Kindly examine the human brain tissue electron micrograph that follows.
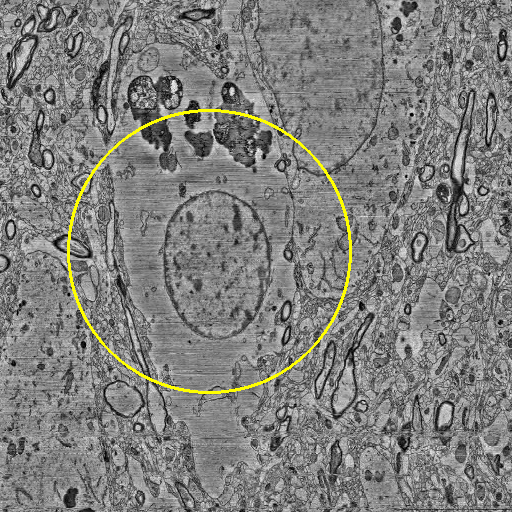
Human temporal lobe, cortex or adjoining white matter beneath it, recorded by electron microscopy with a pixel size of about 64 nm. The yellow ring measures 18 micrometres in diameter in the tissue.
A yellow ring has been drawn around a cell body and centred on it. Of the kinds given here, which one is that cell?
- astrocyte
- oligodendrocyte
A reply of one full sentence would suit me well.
The micrograph's ringed cell, the one at the ring's centre, is an astrocyte.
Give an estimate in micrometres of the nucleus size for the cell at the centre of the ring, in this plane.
About 10 by 7 micrometres in this plane.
